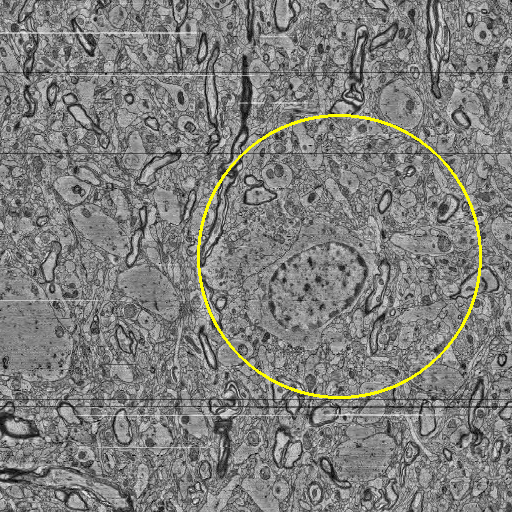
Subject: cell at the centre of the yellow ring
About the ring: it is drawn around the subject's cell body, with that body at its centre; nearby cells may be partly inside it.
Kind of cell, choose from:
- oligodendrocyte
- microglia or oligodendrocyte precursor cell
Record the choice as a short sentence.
The subject cell is a microglial cell or oligodendrocyte precursor cell.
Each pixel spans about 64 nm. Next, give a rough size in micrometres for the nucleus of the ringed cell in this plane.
The nucleus works out at approximately 7 by 5 micrometres in this plane.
